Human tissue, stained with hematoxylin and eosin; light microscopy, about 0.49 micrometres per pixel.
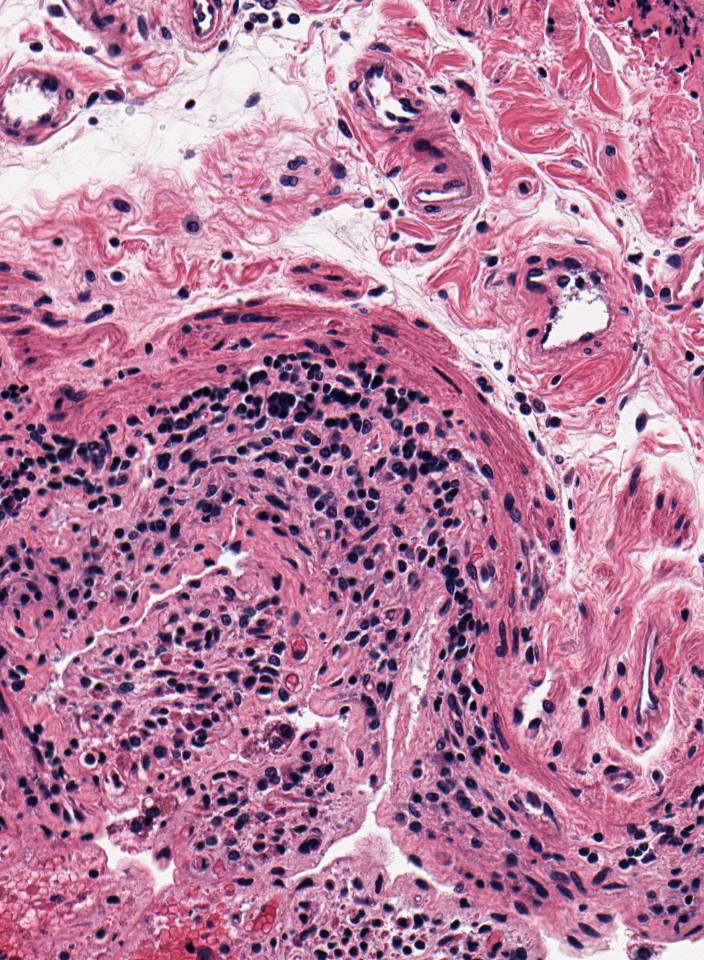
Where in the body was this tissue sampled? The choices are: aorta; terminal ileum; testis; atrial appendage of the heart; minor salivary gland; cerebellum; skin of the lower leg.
terminal ileum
